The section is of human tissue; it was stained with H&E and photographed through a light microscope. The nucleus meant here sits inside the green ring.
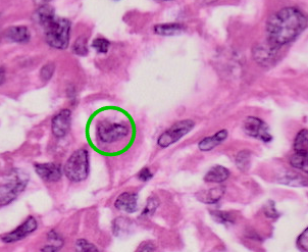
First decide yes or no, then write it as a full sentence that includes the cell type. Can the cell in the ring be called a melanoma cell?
Yes, when classified by type, the cell in the ring is a melanoma cell.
